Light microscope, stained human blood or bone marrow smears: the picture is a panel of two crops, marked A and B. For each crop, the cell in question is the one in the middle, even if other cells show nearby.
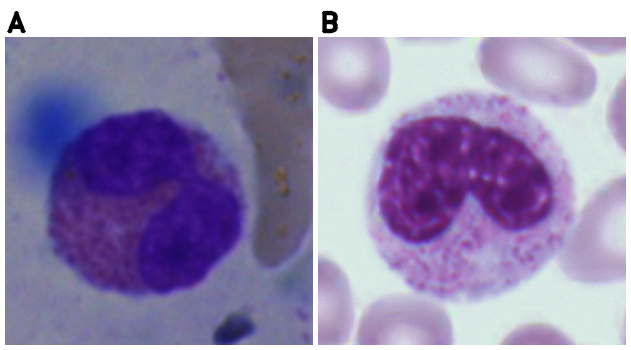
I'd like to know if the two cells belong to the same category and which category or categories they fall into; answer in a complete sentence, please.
No, shown in crop A is an eosinophil, and shown in crop B is a band neutrophil.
